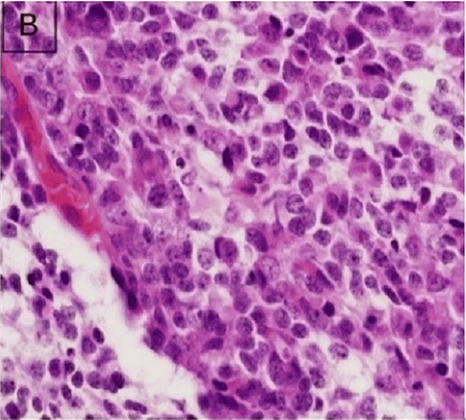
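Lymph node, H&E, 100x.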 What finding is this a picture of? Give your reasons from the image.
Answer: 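Several cells have nuclei pushed to one side of the cell. Round to oval nuclei with visible chromatin.
Eccentric nuclei and bright eosinophilic cytoplasm.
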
